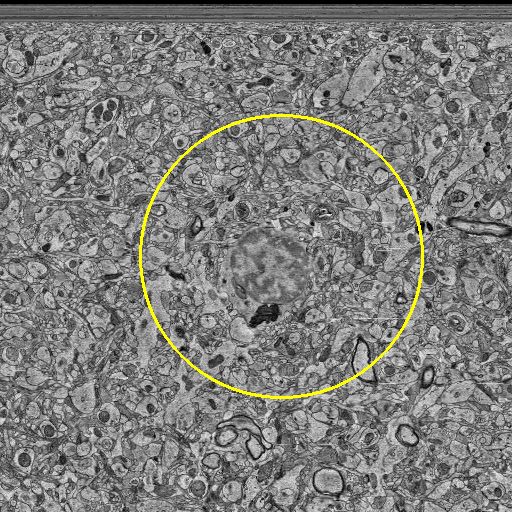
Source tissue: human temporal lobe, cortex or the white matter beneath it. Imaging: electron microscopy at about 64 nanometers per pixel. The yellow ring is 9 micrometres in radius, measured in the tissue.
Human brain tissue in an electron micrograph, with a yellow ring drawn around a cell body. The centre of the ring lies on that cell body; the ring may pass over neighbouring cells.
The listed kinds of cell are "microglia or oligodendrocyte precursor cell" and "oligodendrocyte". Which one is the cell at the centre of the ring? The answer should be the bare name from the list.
oligodendrocyte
